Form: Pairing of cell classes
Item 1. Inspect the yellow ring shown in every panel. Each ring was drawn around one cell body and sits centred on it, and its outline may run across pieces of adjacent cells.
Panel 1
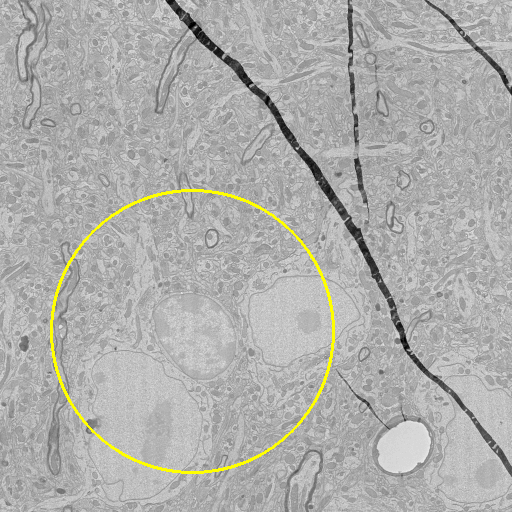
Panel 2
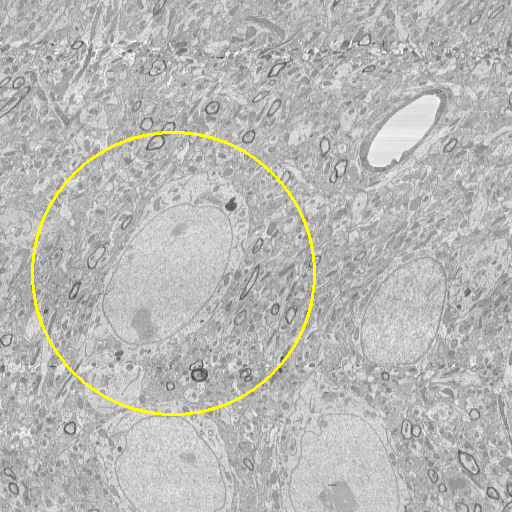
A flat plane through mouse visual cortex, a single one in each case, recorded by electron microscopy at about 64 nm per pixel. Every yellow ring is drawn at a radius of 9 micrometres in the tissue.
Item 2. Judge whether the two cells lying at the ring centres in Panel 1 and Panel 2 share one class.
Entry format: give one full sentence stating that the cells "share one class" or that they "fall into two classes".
The cells at the ring centres in Panel 1 and Panel 2 fall into two classes.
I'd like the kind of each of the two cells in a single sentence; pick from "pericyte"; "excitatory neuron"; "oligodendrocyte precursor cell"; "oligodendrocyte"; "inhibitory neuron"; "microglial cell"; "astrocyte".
The first ring marks an oligodendrocyte, and the second ring marks an excitatory neuron.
